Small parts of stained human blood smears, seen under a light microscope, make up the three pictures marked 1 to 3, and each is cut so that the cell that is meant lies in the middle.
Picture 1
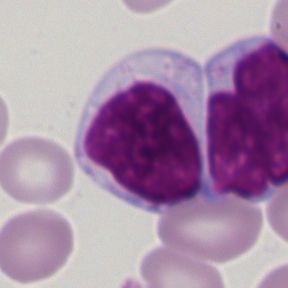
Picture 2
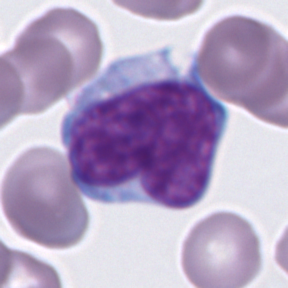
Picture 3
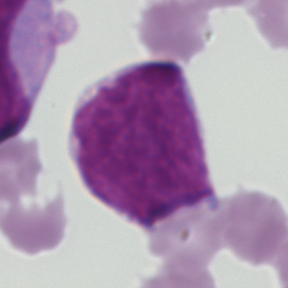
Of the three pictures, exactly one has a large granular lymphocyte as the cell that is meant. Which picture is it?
1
